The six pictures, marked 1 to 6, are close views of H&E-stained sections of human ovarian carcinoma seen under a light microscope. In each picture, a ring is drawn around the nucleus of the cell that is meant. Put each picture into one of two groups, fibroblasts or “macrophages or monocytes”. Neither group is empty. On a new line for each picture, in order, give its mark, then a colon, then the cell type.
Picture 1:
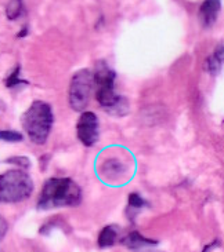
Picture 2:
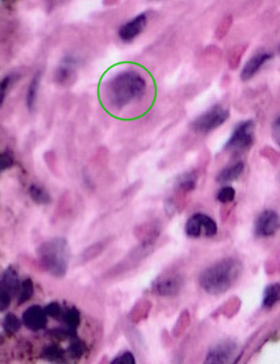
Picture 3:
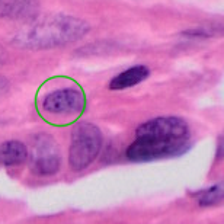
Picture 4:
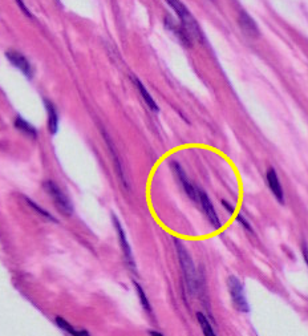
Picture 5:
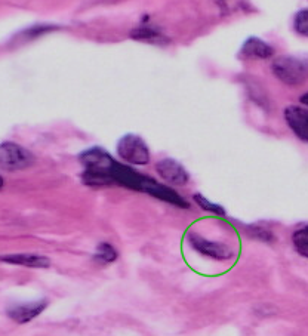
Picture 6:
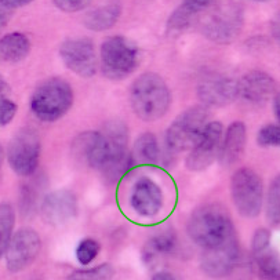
1: macrophage or monocyte
2: fibroblast
3: macrophage or monocyte
4: fibroblast
5: fibroblast
6: macrophage or monocyte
